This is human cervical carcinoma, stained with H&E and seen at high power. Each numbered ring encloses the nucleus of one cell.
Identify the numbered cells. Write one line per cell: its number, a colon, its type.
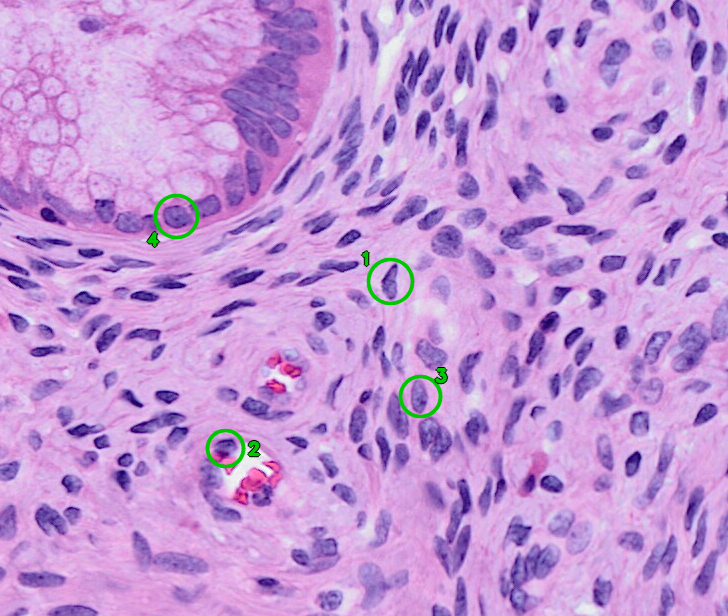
1: fibroblast
2: endothelial cell
3: endothelial cell
4: secretory epithelial cell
